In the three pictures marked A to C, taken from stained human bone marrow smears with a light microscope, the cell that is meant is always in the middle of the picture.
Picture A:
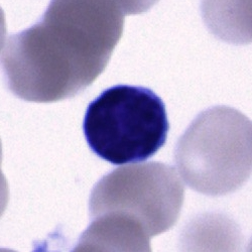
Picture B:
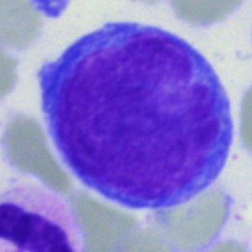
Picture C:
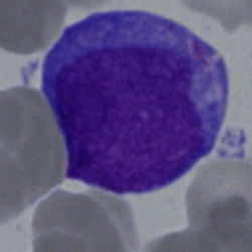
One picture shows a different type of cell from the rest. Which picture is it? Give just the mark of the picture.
A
